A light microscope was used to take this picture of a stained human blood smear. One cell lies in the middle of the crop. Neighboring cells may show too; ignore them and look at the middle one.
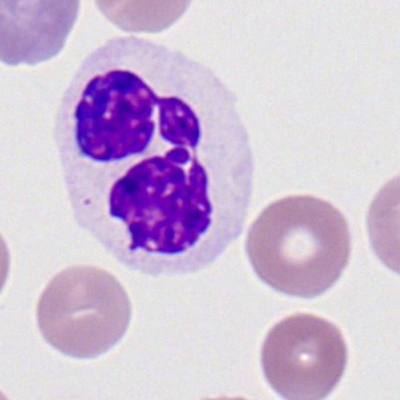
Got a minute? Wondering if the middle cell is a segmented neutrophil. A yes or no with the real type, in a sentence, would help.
Yes, the cell occupying the center is a segmented neutrophil.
